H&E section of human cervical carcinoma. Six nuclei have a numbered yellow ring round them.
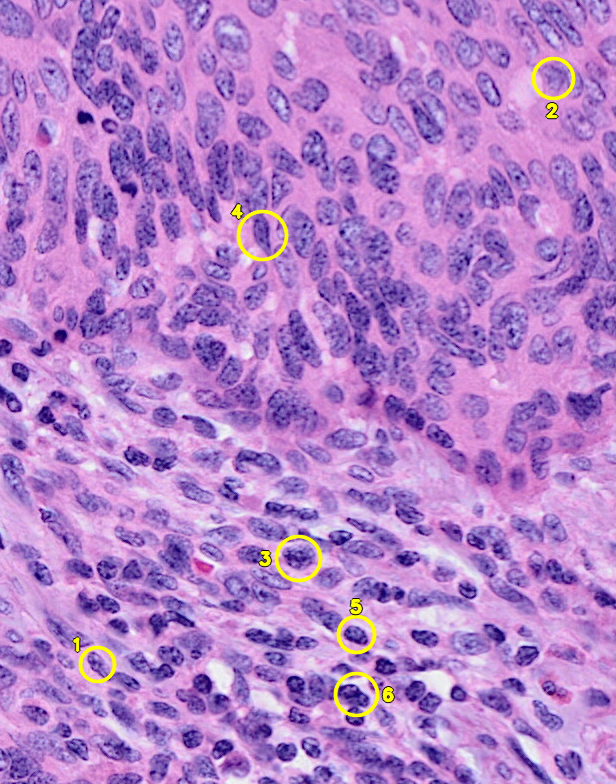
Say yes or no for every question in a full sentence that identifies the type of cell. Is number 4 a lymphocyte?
No, cell 4 should be read as a squamous carcinoma cell instead of a lymphocyte.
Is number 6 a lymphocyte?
Yes, it checks out; the cell labelled 6 is a lymphocyte.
